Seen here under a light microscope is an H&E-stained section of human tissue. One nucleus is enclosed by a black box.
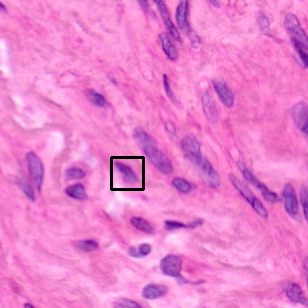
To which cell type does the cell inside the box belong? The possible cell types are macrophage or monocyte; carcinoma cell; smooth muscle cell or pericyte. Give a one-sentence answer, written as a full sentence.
In this preparation, the cell inside the box is a smooth muscle cell or pericyte.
